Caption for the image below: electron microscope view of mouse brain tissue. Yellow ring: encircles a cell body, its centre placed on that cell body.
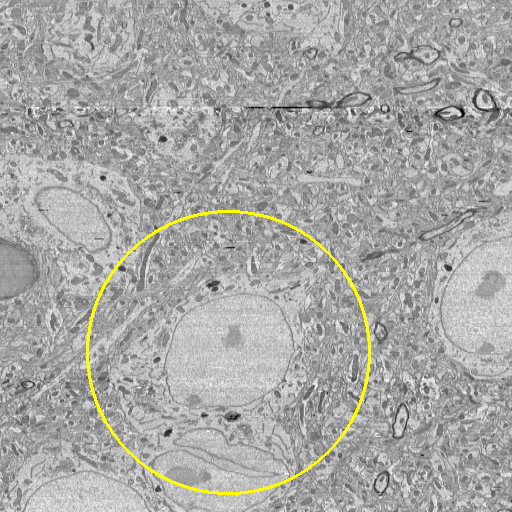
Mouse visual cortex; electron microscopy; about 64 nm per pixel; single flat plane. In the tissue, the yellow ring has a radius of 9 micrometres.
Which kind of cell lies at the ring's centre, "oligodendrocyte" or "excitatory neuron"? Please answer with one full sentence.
The picture shows an excitatory neuron at the centre of the yellow ring.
